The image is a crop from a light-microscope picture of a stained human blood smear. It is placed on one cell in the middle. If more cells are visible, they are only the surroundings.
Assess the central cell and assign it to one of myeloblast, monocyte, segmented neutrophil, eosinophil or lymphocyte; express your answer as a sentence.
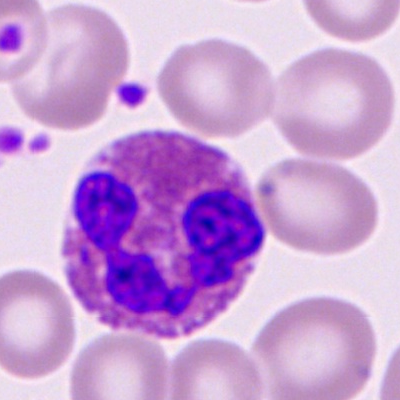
As for the cell in the middle, it is an eosinophil.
